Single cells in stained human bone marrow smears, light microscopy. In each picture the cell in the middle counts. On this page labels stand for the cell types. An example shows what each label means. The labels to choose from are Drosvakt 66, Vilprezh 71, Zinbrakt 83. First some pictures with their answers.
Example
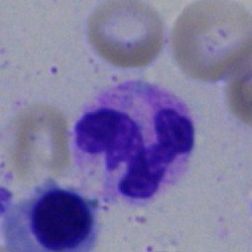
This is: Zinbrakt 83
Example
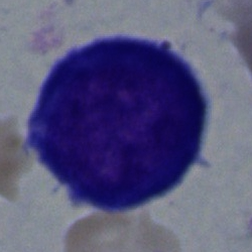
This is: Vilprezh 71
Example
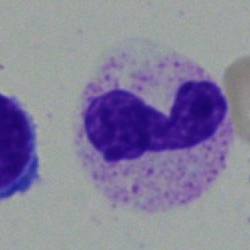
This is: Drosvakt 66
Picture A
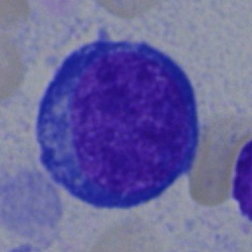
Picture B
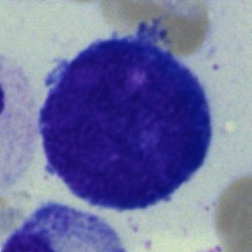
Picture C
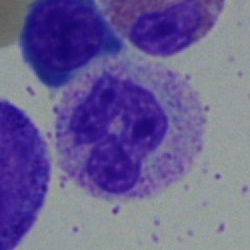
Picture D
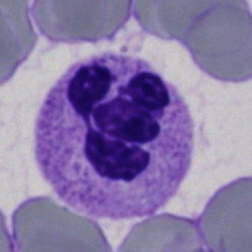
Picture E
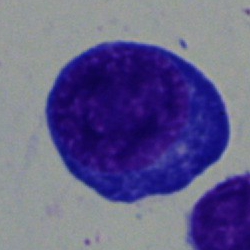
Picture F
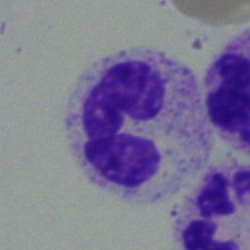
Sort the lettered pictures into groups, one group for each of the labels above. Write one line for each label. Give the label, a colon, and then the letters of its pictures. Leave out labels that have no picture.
Vilprezh 71: A, B, E
Zinbrakt 83: C, D, F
